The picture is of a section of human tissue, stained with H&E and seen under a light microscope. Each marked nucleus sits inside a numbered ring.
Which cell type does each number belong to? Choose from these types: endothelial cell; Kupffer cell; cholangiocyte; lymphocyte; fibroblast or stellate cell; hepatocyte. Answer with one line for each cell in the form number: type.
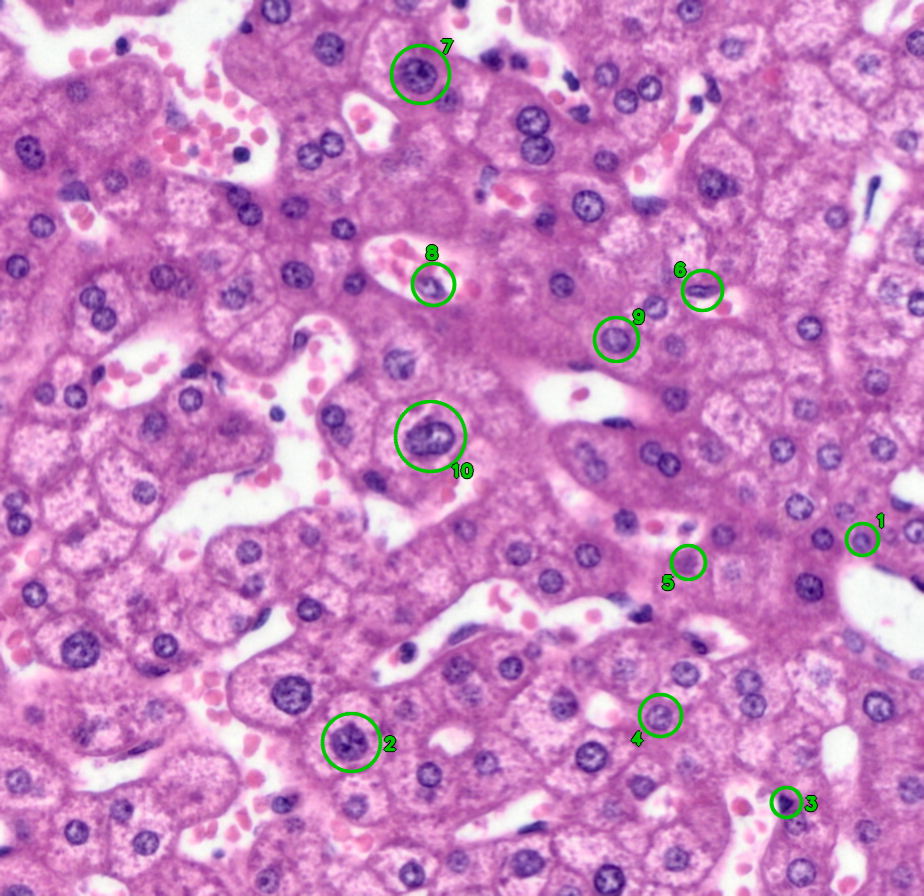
1: cholangiocyte
2: hepatocyte
3: fibroblast or stellate cell
4: hepatocyte
5: hepatocyte
6: Kupffer cell
7: hepatocyte
8: Kupffer cell
9: hepatocyte
10: hepatocyte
